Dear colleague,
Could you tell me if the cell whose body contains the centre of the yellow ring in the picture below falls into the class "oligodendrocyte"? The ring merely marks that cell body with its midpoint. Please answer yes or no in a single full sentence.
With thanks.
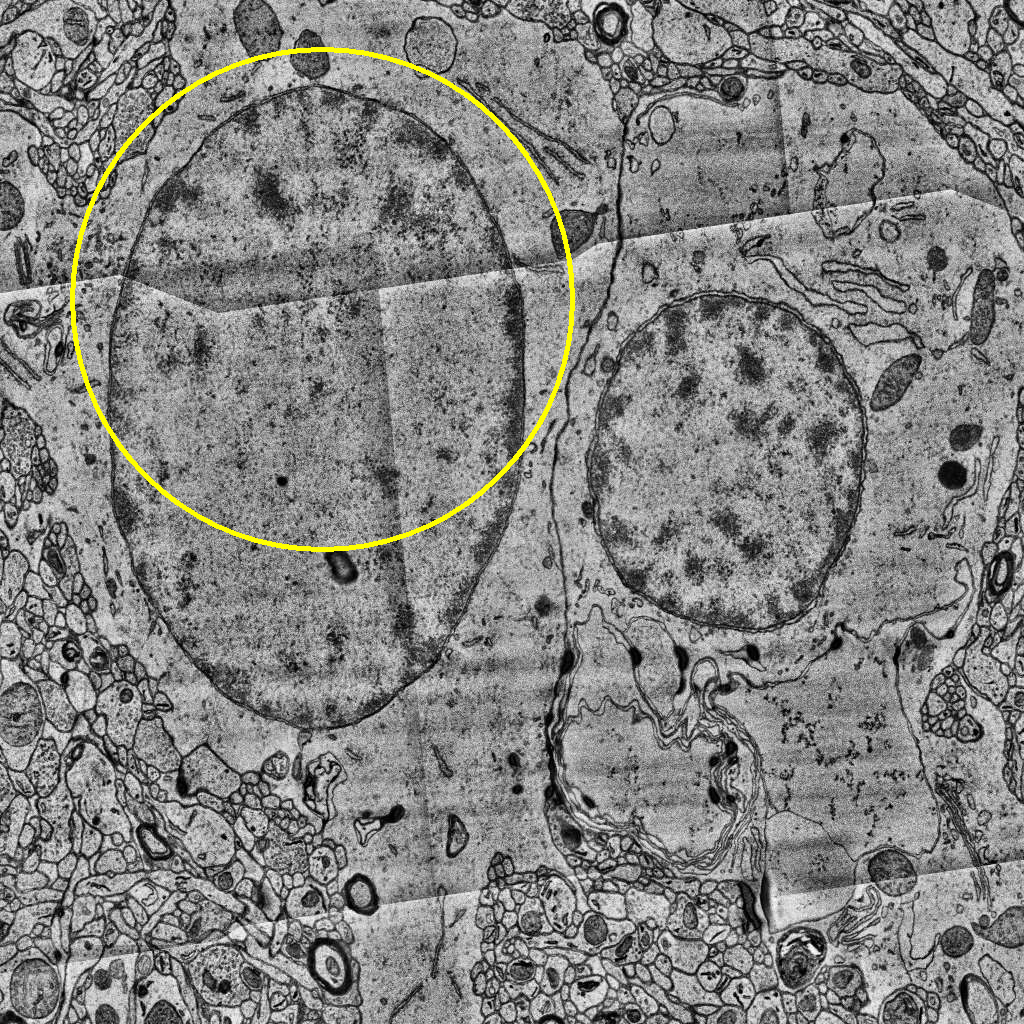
No, the cell containing the centre of the ring in your picture falls into a different class.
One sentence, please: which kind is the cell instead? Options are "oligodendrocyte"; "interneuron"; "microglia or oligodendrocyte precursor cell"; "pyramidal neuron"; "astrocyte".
The cell in question here is an astrocyte.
